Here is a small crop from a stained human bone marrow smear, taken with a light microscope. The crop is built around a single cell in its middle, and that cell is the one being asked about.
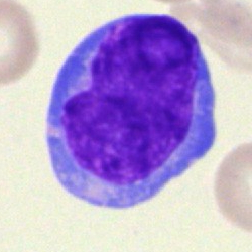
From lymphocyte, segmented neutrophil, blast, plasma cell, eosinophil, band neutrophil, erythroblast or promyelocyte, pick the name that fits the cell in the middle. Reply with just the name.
blast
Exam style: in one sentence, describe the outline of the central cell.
You can see a smooth boundary, with no projections sticking out.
